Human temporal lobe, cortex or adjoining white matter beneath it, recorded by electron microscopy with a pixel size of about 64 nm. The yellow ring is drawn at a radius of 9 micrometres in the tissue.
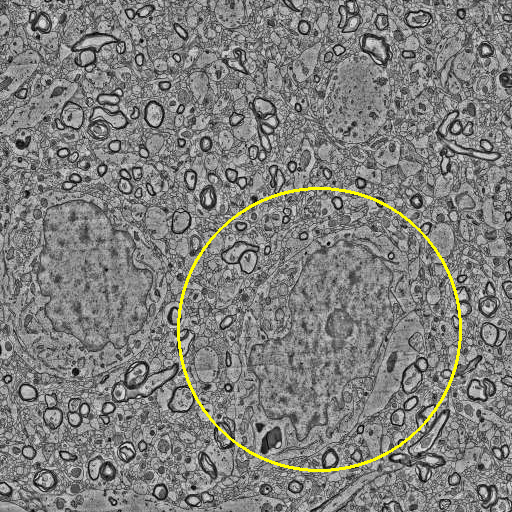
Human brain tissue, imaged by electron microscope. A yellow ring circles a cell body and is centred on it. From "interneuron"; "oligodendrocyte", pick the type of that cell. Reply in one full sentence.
The cell body at the centre of the yellow ring belongs to an interneuron.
